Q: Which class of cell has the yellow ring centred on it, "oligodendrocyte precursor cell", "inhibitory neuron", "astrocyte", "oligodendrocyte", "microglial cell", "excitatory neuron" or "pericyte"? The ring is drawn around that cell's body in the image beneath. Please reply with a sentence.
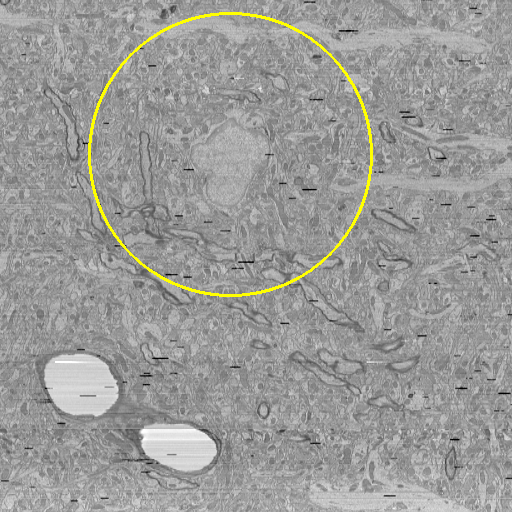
It is centred on an oligodendrocyte precursor cell.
